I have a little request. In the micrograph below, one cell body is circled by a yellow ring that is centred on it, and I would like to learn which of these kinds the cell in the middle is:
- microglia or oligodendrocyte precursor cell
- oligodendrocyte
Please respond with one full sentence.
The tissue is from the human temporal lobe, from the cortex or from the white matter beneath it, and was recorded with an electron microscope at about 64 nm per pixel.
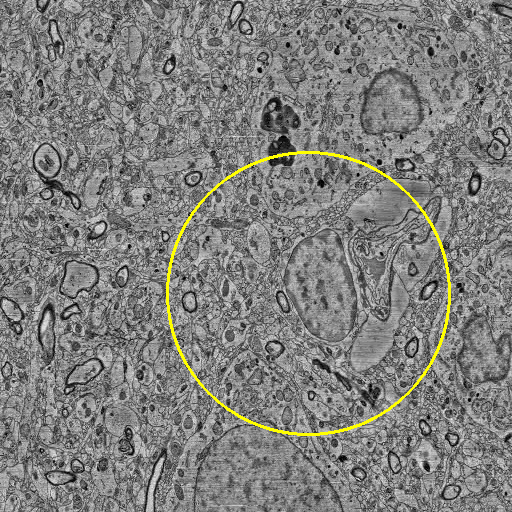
The cell sitting in the middle of the yellow ring in the micrograph is a microglial cell or oligodendrocyte precursor cell.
